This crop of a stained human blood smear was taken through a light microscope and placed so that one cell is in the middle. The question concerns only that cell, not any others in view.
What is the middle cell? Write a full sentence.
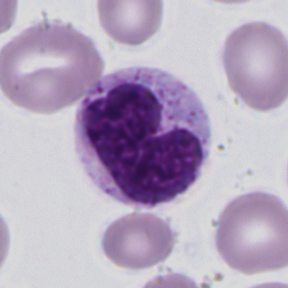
The cell sitting right in the middle is a band neutrophil.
